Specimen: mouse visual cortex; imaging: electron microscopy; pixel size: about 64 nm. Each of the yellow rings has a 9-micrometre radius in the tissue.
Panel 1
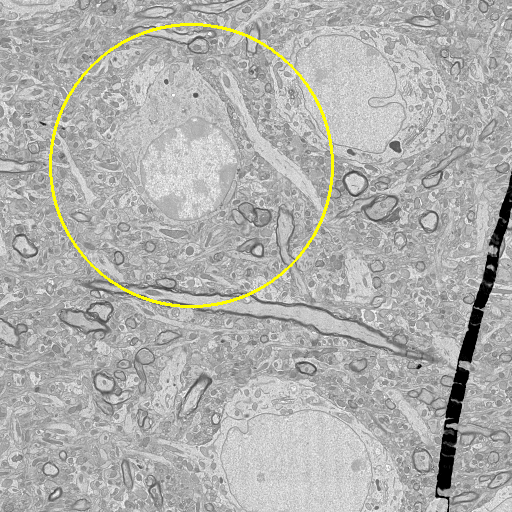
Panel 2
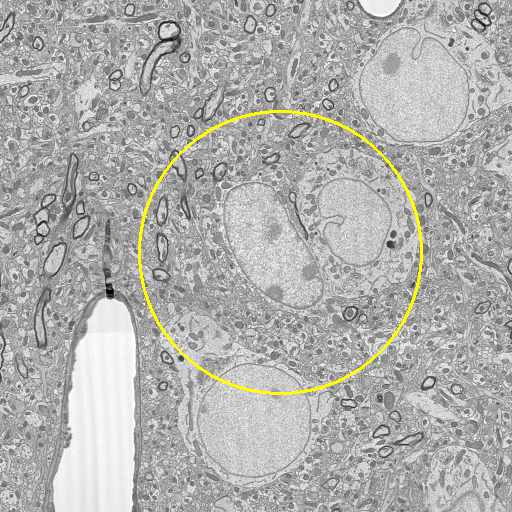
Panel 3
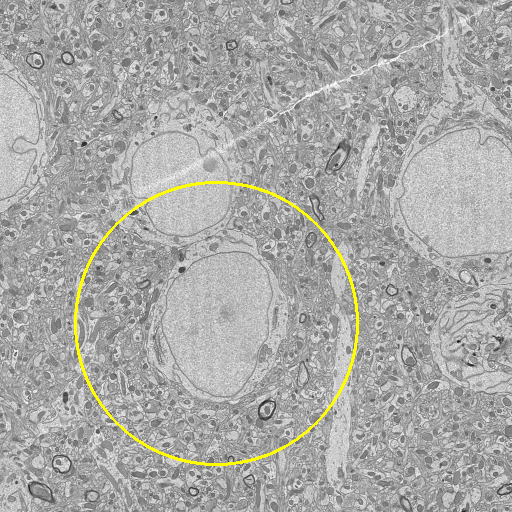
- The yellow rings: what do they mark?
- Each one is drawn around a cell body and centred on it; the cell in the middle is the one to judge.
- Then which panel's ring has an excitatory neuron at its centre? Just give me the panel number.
3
